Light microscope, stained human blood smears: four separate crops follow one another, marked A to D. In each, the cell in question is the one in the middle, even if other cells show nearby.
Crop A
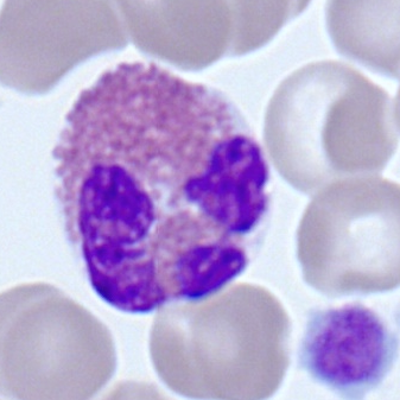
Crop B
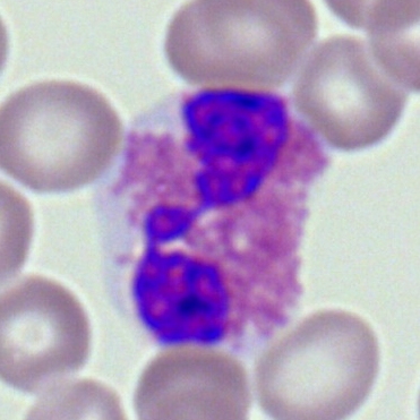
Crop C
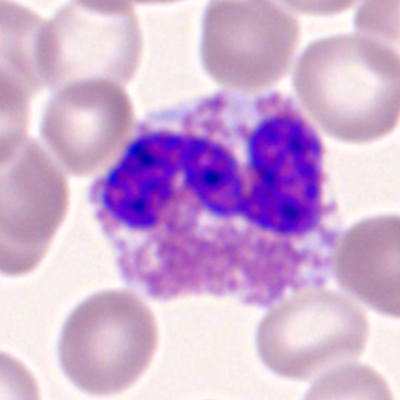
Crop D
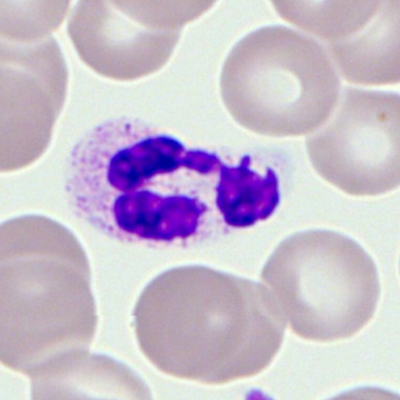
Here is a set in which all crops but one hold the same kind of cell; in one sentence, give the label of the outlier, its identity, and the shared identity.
The exception in this group is crop D, a neutrophil, and the others are all eosinophils.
